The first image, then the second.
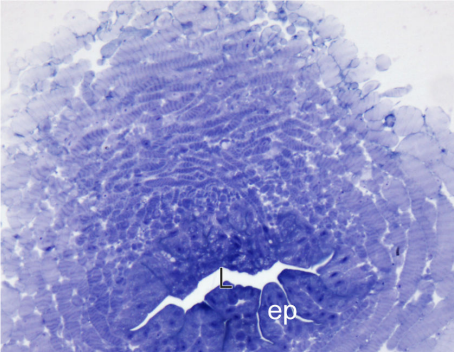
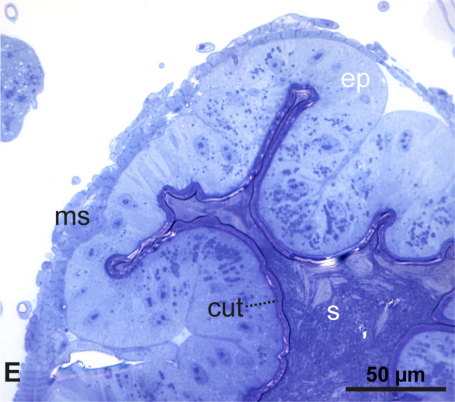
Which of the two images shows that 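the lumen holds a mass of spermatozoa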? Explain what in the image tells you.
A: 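Second image: a dark fibrous mass lies in the lumen beside the epithelium. First image: the lumen is a narrow, empty slit. That points to this answer: the second image.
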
